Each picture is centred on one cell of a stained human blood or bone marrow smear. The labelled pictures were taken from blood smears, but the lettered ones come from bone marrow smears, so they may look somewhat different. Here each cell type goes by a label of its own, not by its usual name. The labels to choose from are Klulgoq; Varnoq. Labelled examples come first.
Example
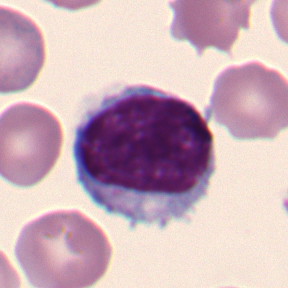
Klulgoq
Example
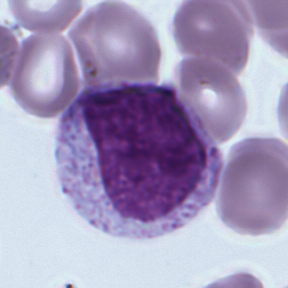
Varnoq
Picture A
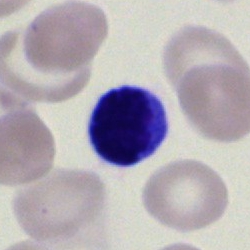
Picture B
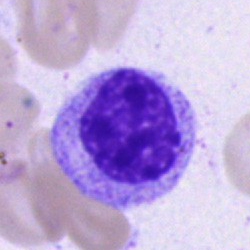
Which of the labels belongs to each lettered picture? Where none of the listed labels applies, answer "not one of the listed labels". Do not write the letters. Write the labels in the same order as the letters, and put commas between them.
Klulgoq, Varnoq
